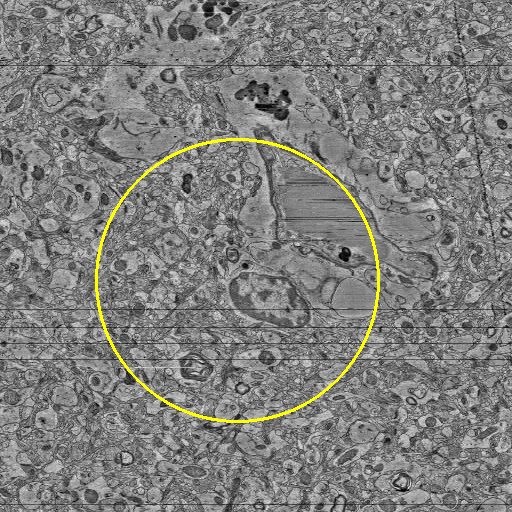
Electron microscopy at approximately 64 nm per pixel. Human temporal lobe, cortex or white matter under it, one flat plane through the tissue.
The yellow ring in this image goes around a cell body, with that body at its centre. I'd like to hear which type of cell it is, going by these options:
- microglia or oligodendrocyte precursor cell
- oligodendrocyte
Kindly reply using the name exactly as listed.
microglia or oligodendrocyte precursor cell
